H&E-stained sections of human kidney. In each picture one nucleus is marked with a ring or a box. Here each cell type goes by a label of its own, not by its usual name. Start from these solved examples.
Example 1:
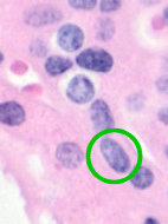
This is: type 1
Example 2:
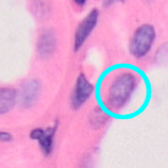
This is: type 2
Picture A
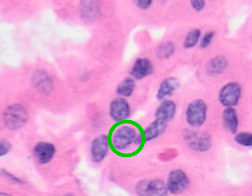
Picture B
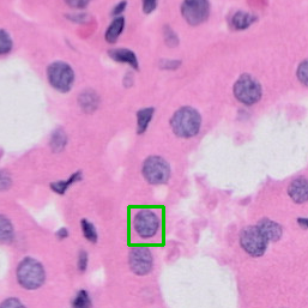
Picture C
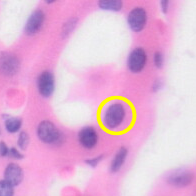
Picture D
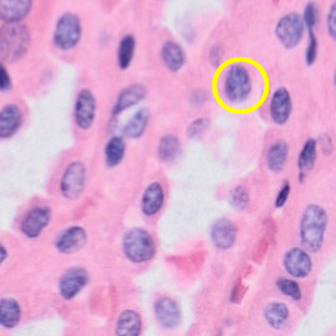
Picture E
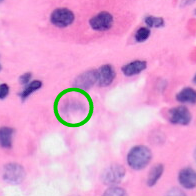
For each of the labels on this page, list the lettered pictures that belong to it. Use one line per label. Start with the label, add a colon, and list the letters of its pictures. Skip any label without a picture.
type 1: A
type 2: B, C, D, E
